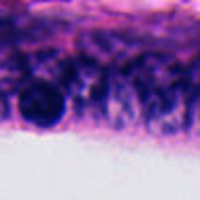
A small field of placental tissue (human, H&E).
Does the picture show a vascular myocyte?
No, it shows a syncytial knot.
